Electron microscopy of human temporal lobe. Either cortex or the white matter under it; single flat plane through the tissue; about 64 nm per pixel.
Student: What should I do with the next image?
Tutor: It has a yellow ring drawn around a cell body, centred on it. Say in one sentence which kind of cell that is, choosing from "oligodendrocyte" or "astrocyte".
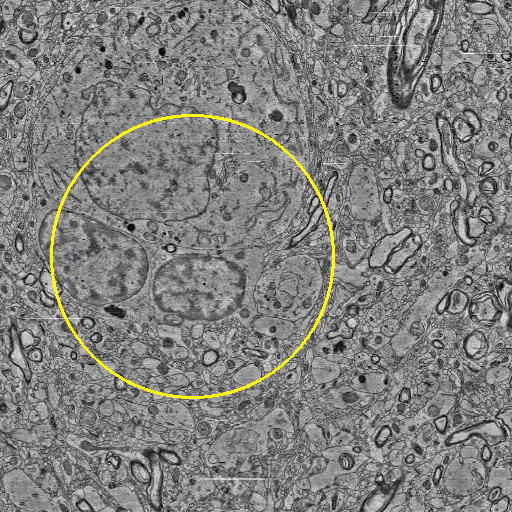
The ring's centre is occupied by an oligodendrocyte.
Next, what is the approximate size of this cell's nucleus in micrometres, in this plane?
Approximately 6 by 5 micrometers in this plane.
